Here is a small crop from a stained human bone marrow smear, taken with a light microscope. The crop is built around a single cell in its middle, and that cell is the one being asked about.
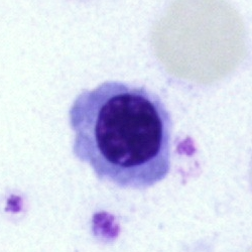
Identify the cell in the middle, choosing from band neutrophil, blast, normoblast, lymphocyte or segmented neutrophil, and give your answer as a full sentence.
This crop is built around a normoblast at its centre.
